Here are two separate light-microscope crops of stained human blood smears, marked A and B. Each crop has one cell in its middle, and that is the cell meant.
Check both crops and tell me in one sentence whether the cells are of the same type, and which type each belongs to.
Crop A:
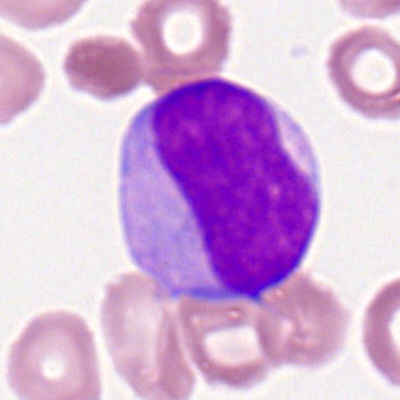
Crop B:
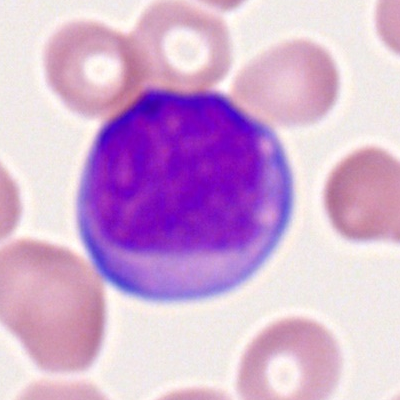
Yes, shown in both crops are blasts.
